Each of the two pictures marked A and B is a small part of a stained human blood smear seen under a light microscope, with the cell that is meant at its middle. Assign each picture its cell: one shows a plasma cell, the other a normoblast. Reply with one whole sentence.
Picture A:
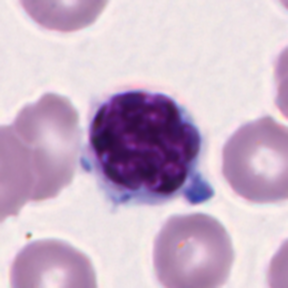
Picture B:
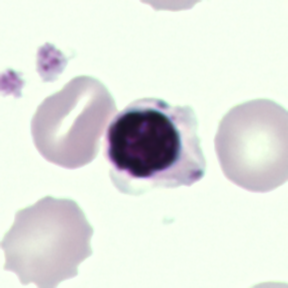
Picture A shows a plasma cell and picture B shows a normoblast.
